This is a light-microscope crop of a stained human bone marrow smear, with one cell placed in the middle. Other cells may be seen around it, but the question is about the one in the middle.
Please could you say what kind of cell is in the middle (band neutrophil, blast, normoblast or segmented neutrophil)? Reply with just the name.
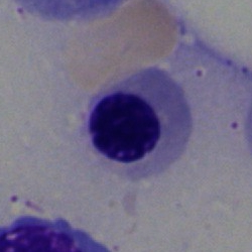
normoblast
